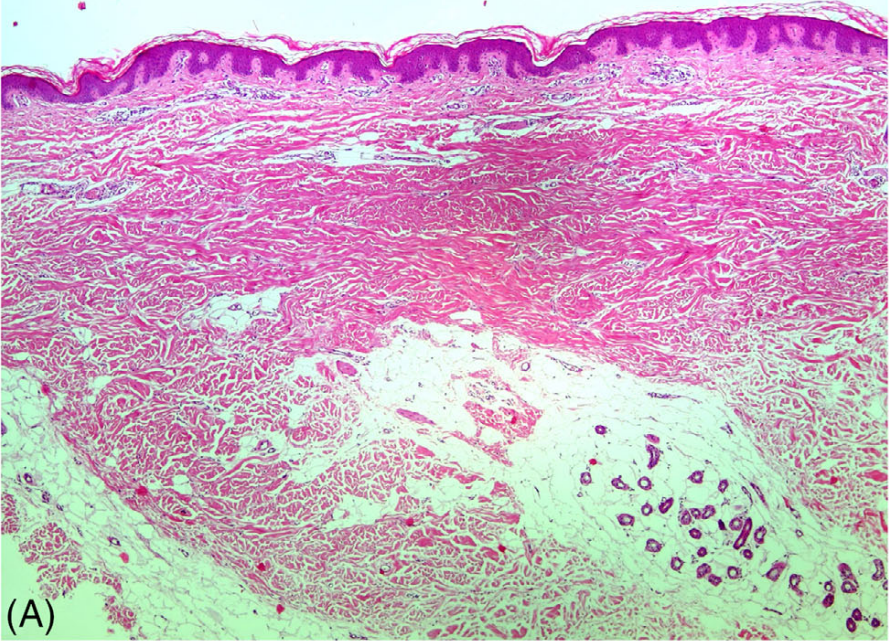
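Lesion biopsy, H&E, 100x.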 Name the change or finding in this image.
densely packed collagen bundles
